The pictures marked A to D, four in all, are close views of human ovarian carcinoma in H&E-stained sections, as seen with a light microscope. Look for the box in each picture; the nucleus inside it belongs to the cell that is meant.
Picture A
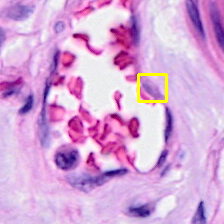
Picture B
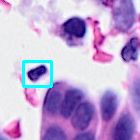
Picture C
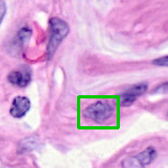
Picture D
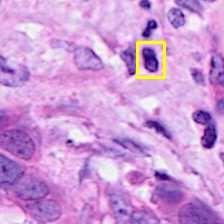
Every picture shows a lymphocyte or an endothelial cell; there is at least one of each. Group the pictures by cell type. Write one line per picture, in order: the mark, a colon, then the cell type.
A: endothelial cell
B: lymphocyte
C: endothelial cell
D: lymphocyte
